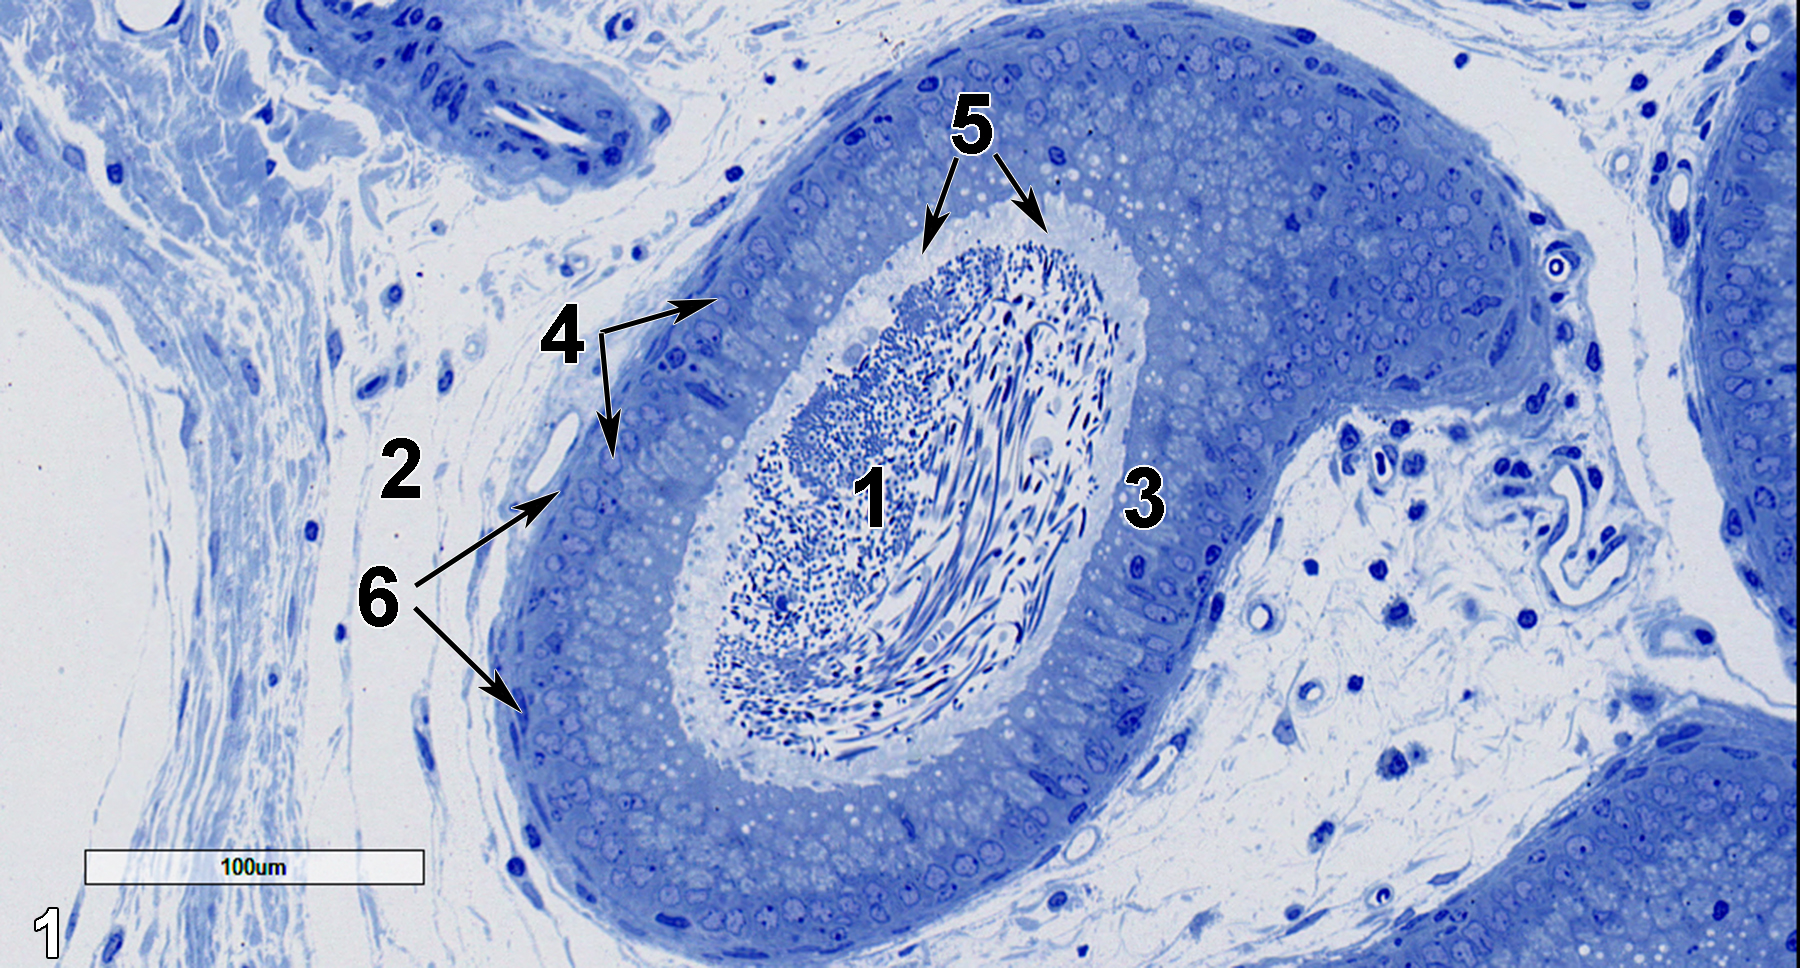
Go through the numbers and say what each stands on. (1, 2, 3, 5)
1: spermatozoa
2: loose connective tissue
3: columnar epithelial cells
5: stereocilia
